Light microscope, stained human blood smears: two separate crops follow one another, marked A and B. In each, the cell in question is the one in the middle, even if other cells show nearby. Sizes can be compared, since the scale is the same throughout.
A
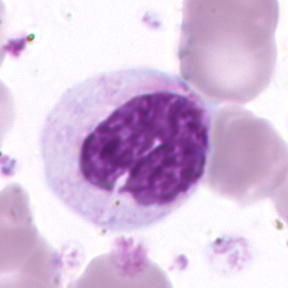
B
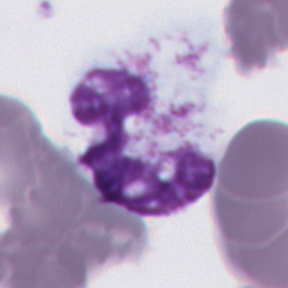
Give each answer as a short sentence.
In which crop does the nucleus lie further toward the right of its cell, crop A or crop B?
In crop A the nucleus is shifted more toward the right.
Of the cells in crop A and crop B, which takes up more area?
Larger is the cell in crop A, at roughly 1.5 times the area of the other.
